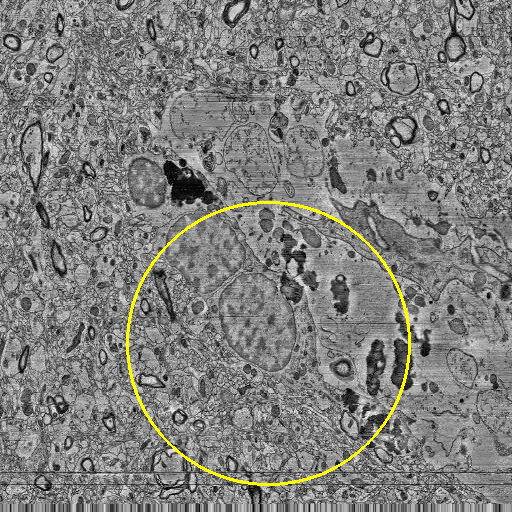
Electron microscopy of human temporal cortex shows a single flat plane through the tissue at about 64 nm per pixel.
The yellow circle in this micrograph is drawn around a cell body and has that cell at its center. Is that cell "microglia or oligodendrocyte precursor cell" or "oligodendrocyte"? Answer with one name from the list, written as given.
oligodendrocyte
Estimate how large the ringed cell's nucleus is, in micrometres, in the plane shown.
In this plane the nucleus measures roughly 7 by 5 micrometres.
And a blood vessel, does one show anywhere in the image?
Yes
